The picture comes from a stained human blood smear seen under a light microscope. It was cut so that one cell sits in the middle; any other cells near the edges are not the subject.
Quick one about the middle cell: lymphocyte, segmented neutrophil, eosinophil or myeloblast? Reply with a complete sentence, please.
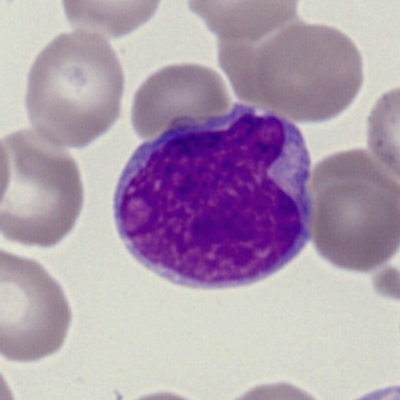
This crop's central cell is a myeloblast.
